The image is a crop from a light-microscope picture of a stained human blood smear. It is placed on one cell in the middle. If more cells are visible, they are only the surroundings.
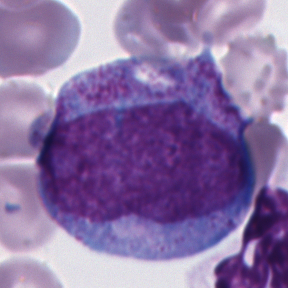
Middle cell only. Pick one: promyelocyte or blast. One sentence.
The cell of interest, in the center, is a promyelocyte.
